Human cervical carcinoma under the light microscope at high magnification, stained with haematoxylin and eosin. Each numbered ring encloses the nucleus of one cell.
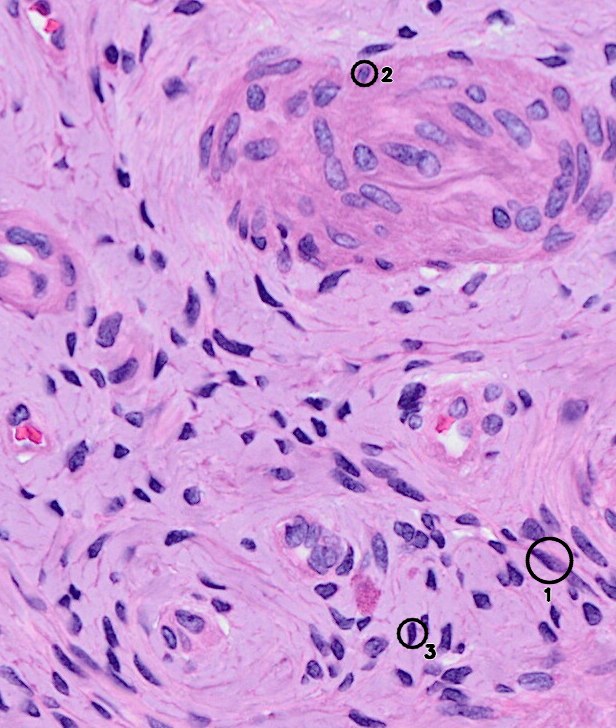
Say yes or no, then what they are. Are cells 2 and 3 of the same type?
No, cell 2 is a smooth muscle cell, while a fibroblast is what cell 3 is.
